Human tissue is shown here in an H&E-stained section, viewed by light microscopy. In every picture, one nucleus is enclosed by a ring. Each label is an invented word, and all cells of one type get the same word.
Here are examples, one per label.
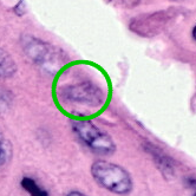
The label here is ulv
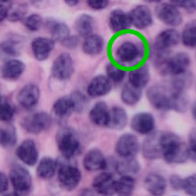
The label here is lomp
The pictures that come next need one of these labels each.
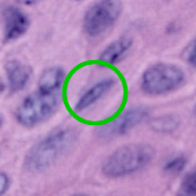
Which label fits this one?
ulv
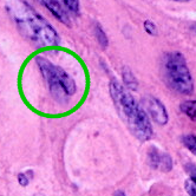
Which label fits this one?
ulv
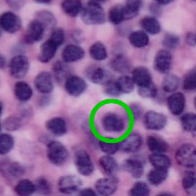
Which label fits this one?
lomp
